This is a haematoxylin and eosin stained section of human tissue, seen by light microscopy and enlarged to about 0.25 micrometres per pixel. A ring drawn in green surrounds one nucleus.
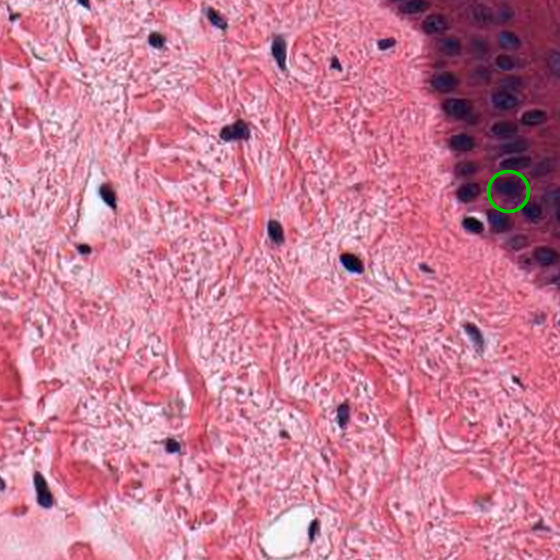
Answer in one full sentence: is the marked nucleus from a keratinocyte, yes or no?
Yes, a keratinocyte is the cell that the marked nucleus belongs to.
